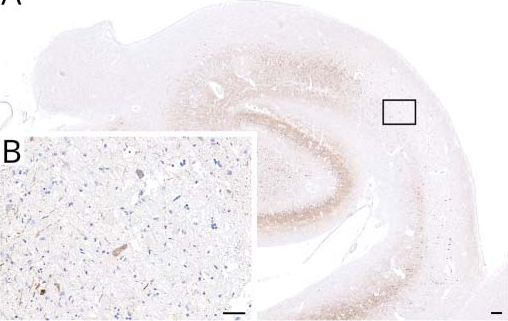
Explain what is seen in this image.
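This is a low-power view of the hippocampus, with the curved band of the cornu ammonis wrapping around the inner C-shaped dentate region. A tan band follows the inner curved cell layers, but much of the outer curved sector is pale, showing how few neurons are left there. This patchy loss of stained neurons in parts of the hippocampus is the picture of hippocampal sclerosis. A small framed area on the pale sector is shown at higher power in the inset at lower left, where only scattered brown profiles remain among blue nuclei.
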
